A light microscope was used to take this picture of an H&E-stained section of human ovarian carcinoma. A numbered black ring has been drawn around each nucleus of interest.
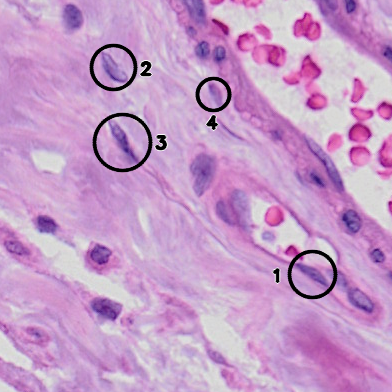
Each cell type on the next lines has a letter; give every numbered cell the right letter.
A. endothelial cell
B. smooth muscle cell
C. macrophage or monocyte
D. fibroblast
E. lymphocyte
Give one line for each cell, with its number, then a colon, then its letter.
1: A
2: D
3: C
4: D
